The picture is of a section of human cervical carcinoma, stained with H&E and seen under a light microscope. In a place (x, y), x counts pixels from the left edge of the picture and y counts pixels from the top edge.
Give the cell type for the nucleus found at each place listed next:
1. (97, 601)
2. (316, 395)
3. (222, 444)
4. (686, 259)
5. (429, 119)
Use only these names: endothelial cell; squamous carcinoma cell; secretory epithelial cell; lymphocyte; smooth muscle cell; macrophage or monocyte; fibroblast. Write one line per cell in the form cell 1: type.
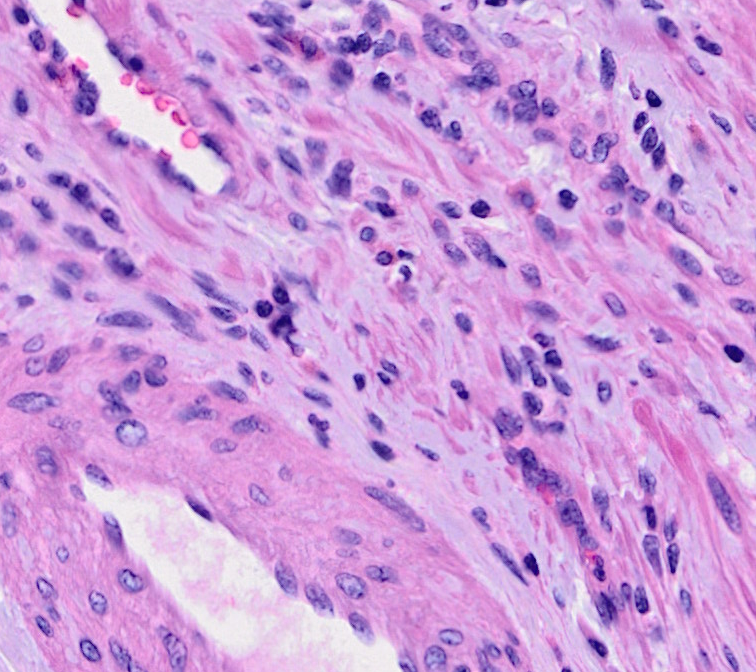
cell 1: smooth muscle cell
cell 2: fibroblast
cell 3: smooth muscle cell
cell 4: endothelial cell
cell 5: lymphocyte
